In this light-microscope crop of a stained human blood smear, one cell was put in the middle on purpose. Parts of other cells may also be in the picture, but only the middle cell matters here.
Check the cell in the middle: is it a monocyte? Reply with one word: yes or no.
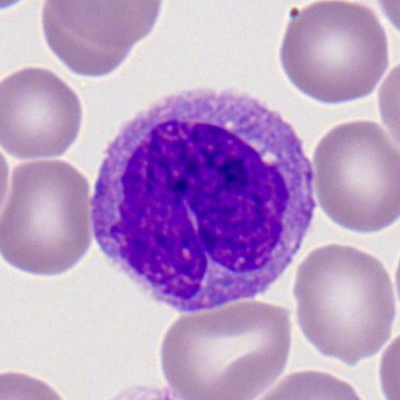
yes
